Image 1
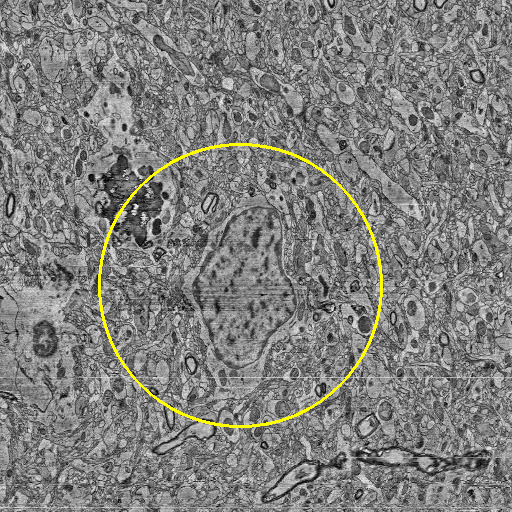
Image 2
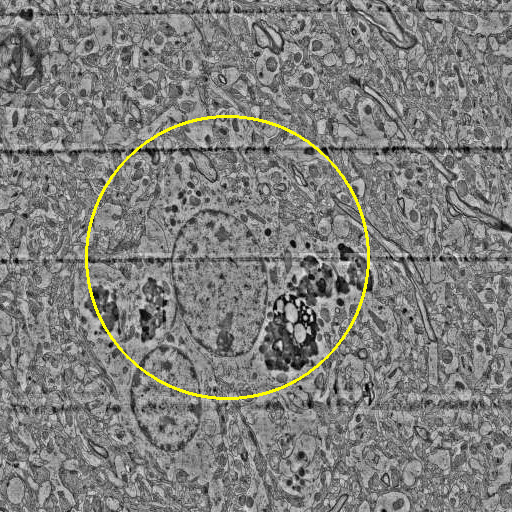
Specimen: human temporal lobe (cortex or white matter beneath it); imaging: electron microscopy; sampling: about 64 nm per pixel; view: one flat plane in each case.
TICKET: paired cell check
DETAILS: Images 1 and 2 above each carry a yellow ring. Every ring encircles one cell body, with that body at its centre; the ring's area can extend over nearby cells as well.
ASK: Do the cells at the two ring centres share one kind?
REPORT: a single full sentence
No, the ring-centre cells of Images 1 and 2 belong to two kinds.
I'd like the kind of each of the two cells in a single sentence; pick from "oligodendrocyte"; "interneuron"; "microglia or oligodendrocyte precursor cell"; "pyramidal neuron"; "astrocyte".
The first ring marks a microglial cell or oligodendrocyte precursor cell, and the second ring marks an astrocyte.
